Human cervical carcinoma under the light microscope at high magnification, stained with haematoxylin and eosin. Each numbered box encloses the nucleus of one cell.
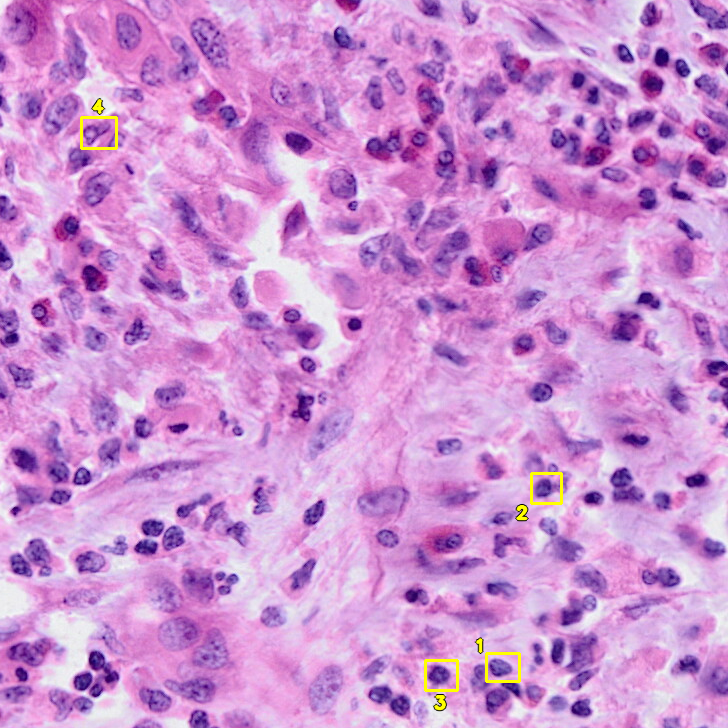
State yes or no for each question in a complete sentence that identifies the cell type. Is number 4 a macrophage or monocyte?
Yes, the cell given number 4 is a macrophage or monocyte.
